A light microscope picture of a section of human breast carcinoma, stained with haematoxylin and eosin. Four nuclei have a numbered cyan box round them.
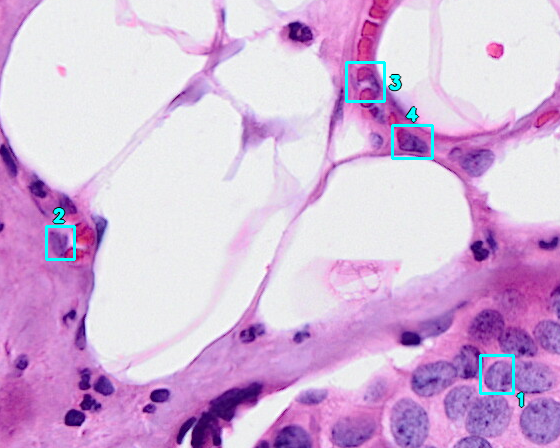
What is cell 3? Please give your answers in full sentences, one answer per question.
The mark numbered 3 indicates the nucleus of an endothelial cell.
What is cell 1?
Cell 1 in the field is a carcinoma cell.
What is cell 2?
In this section, the cell tagged 2 is an endothelial cell.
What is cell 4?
The numbered cell 4 in this field is an endothelial cell.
